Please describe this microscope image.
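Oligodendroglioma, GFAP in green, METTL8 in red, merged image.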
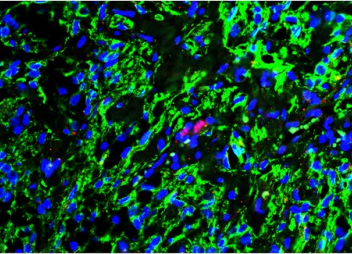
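The green fills broad strands and patches, leaving darker gaps between them, and the nuclei lie within and alongside these strands, several appearing roughly aligned in the same direction. Red is sparse, with only a small cluster of bright red-to-pink near the centre of the field and faint dots elsewhere. There is no orderly layering of cells, and the nuclei vary in size and shape.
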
